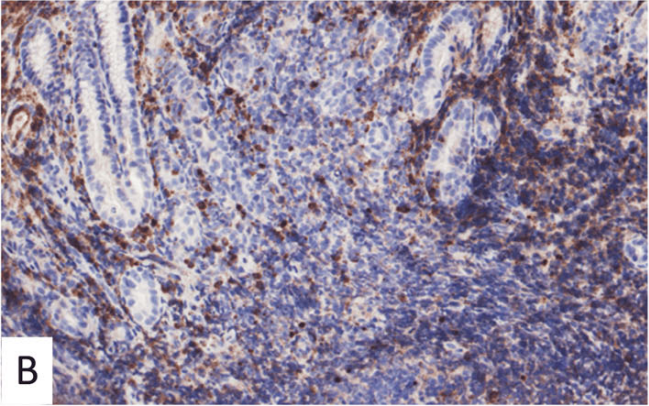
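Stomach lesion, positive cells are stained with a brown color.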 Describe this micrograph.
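Gastric mucosa is shown, with glands set in a lamina propria densely filled by inflammatory cells. The glands appear as tubular and round profiles lined by pale columnar epithelium with blue nuclei. Between them, many scattered cells have brown-stained cytoplasm. The deeper part of the field is packed with small cells with blue nuclei, fewer of which are brown.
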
